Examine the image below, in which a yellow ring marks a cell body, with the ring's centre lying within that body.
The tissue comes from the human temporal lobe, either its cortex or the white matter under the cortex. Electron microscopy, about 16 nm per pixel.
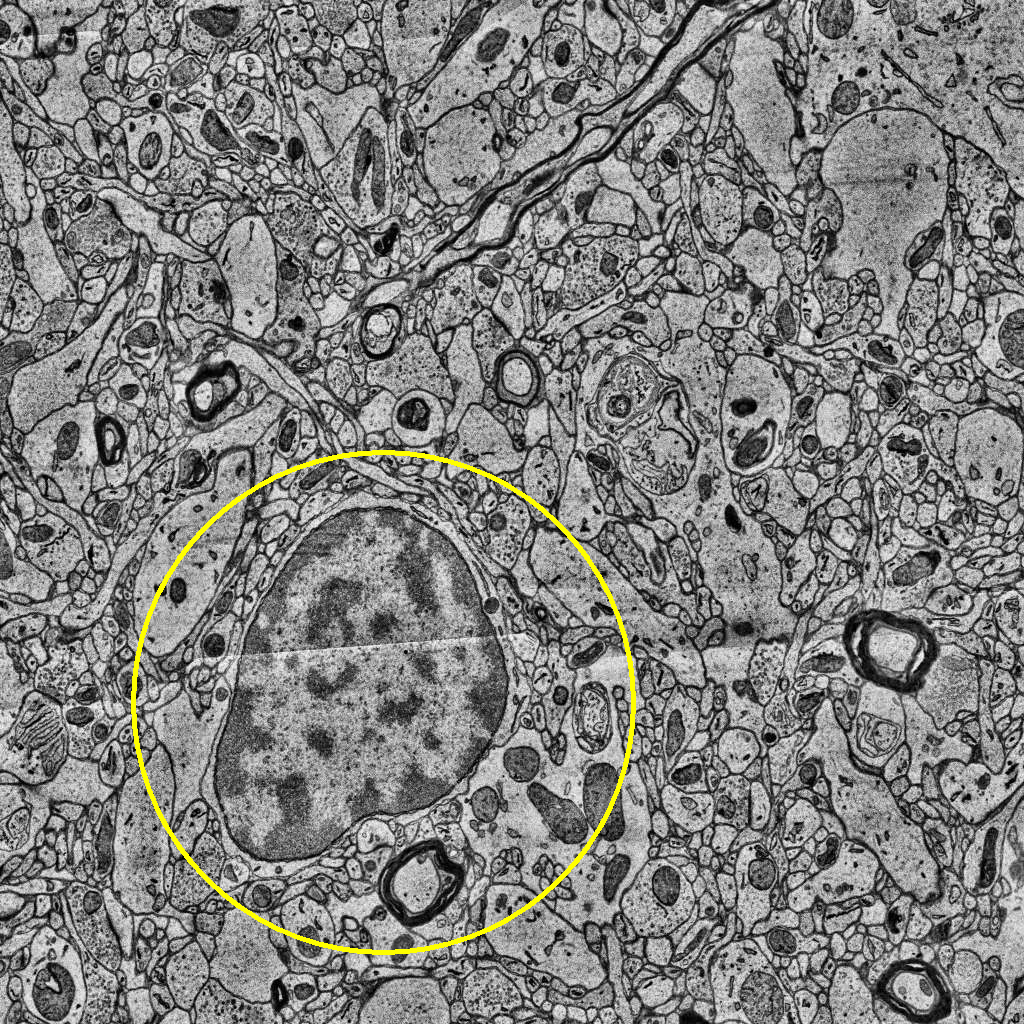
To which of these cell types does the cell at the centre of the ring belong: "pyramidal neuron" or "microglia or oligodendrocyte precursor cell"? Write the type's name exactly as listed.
microglia or oligodendrocyte precursor cell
